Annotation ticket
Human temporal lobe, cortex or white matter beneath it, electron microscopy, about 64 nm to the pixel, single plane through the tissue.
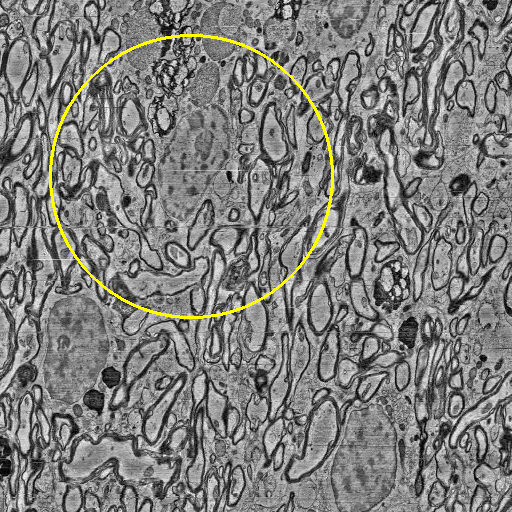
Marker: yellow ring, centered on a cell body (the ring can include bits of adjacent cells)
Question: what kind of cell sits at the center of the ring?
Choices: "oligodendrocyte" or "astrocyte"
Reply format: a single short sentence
The ring is centered on an astrocyte.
